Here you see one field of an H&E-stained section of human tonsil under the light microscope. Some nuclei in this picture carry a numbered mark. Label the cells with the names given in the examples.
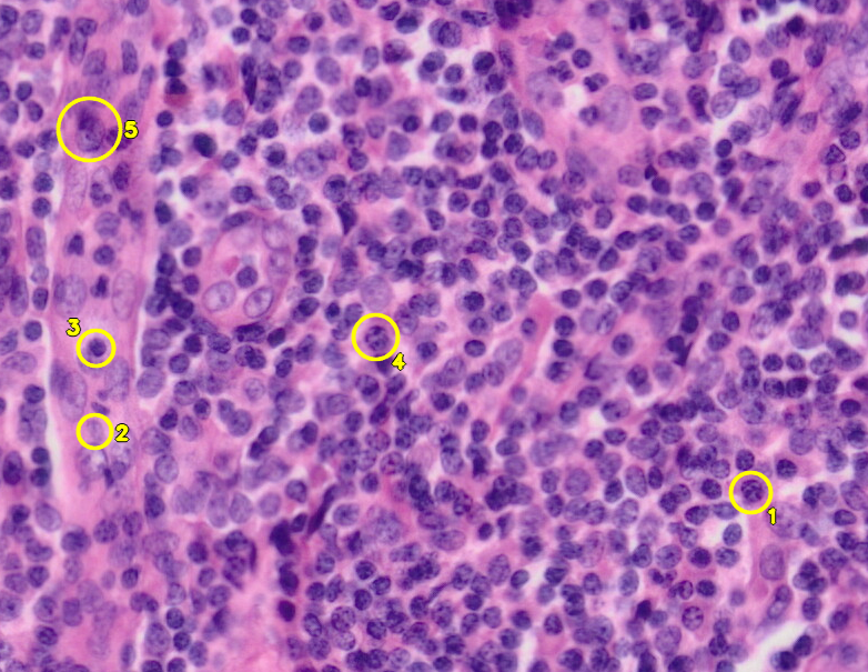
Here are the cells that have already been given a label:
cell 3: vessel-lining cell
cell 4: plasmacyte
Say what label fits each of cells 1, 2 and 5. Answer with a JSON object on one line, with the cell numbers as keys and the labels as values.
{"1": "plasmacyte", "2": "vessel-lining cell", "5": "vessel-lining cell"}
